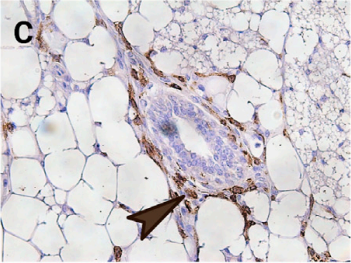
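Mammary tissue with a small duct lined by blue-nucleated epithelium, set in stroma surrounded by large empty fat cells, and many brown-stained cells clustered in the periductal stroma. The brown cells are irregular and elongated, with thin extensions wrapping around the duct and reaching between neighbouring fat cells. The duct lumen is open and the epithelial cells themselves are unstained. Further brown cells thread along the thin walls between fat cells.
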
